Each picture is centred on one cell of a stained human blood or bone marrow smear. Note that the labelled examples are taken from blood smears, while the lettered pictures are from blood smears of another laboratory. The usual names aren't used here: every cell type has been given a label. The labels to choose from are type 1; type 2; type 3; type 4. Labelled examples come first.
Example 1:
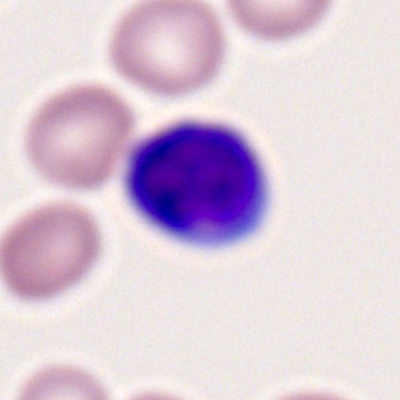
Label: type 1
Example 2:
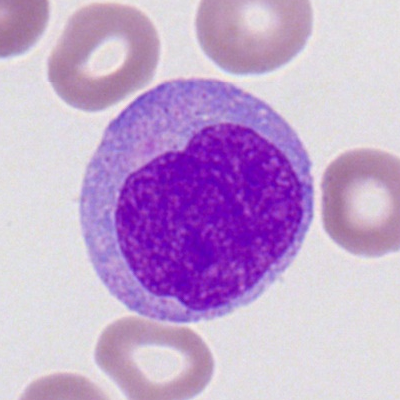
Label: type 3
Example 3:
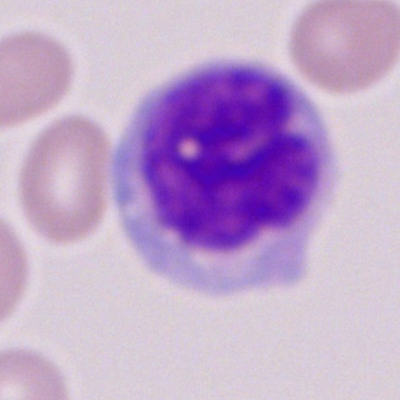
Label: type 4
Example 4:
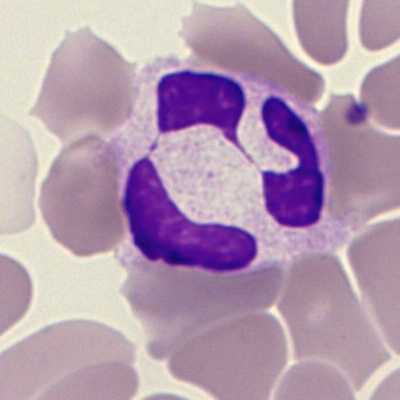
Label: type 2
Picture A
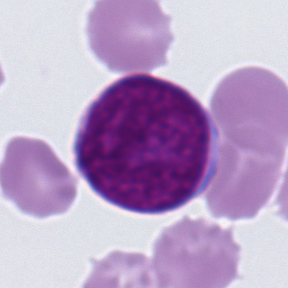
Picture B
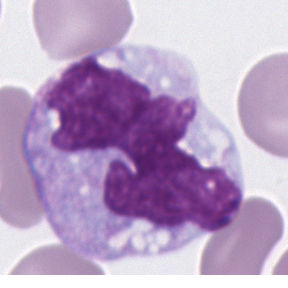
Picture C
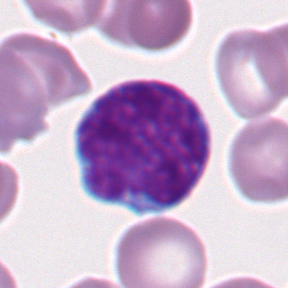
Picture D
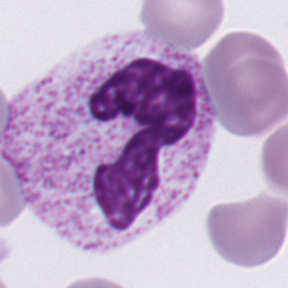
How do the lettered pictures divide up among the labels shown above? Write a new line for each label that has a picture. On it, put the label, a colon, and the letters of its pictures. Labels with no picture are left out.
type 2: D
type 3: A, C
type 4: B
